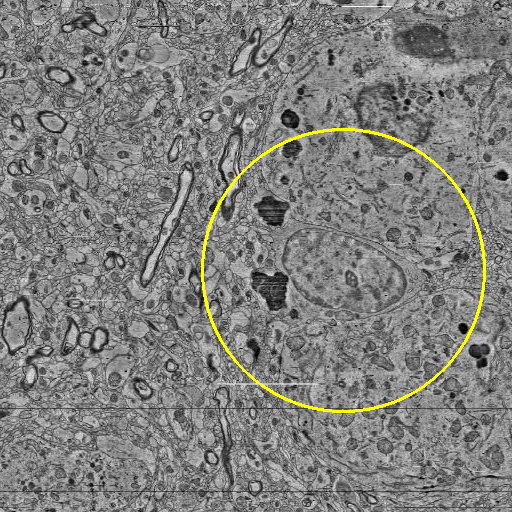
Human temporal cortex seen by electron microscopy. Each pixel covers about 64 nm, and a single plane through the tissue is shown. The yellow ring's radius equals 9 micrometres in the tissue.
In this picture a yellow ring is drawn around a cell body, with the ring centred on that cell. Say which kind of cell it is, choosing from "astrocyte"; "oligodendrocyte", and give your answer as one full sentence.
Here it is an oligodendrocyte that sits at the centre of the drawn yellow ring.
